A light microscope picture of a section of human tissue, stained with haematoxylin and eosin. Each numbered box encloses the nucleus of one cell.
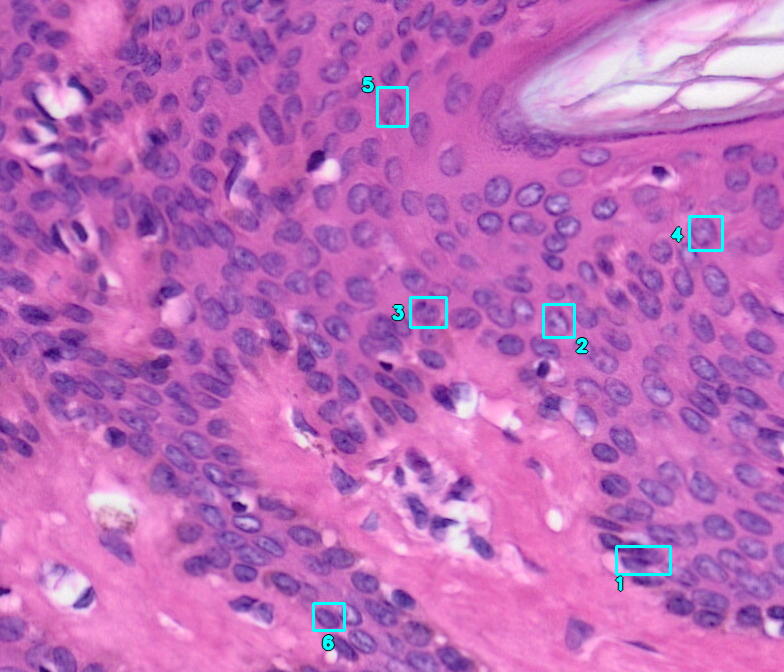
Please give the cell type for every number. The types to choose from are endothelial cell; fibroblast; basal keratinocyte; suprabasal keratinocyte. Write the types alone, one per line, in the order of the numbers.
basal keratinocyte
suprabasal keratinocyte
suprabasal keratinocyte
suprabasal keratinocyte
suprabasal keratinocyte
basal keratinocyte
